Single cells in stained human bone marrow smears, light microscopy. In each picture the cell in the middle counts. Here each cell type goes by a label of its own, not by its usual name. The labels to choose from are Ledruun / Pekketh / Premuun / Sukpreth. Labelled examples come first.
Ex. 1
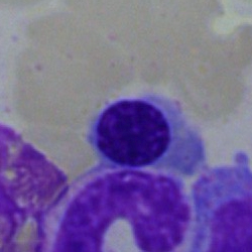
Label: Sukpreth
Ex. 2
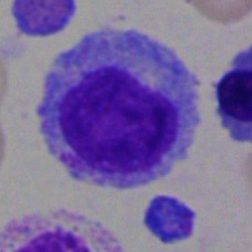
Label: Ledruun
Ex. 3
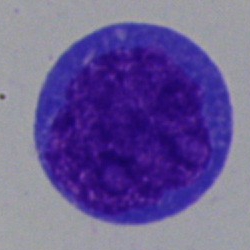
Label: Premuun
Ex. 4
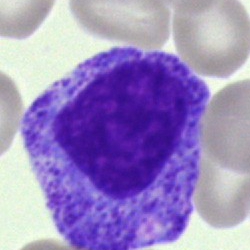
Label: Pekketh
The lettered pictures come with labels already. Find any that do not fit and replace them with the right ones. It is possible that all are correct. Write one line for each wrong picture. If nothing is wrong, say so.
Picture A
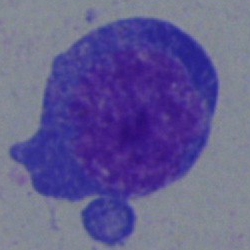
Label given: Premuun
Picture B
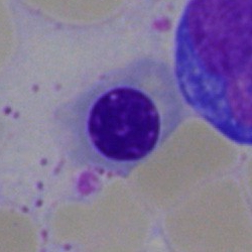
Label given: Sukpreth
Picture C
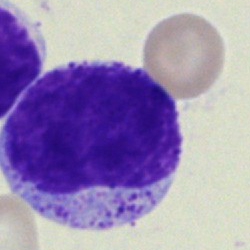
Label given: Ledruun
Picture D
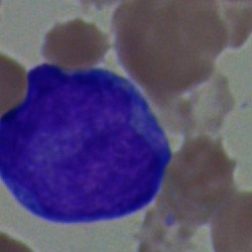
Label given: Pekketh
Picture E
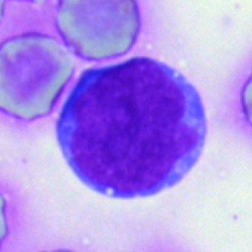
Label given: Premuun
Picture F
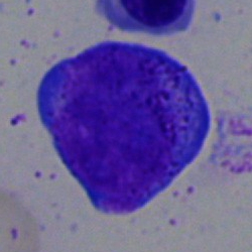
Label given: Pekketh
D is labelled Pekketh; correct label: Premuun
